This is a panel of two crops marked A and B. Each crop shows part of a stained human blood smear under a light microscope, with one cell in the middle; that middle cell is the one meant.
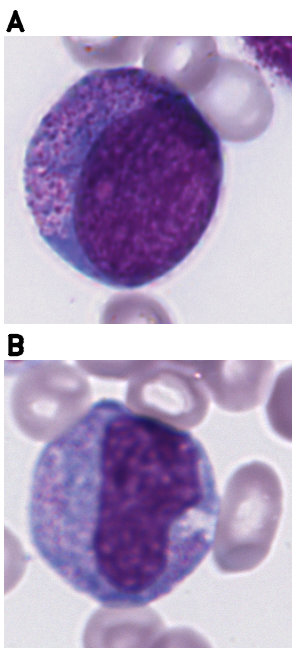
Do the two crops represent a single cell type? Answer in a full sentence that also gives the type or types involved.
Yes, with regard to both crops, the central cells are promyelocytes.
